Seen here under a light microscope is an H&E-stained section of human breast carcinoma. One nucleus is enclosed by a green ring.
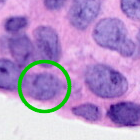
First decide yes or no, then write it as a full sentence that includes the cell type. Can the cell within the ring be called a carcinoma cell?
Yes, it is the case that the cell within the ring is a carcinoma cell.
